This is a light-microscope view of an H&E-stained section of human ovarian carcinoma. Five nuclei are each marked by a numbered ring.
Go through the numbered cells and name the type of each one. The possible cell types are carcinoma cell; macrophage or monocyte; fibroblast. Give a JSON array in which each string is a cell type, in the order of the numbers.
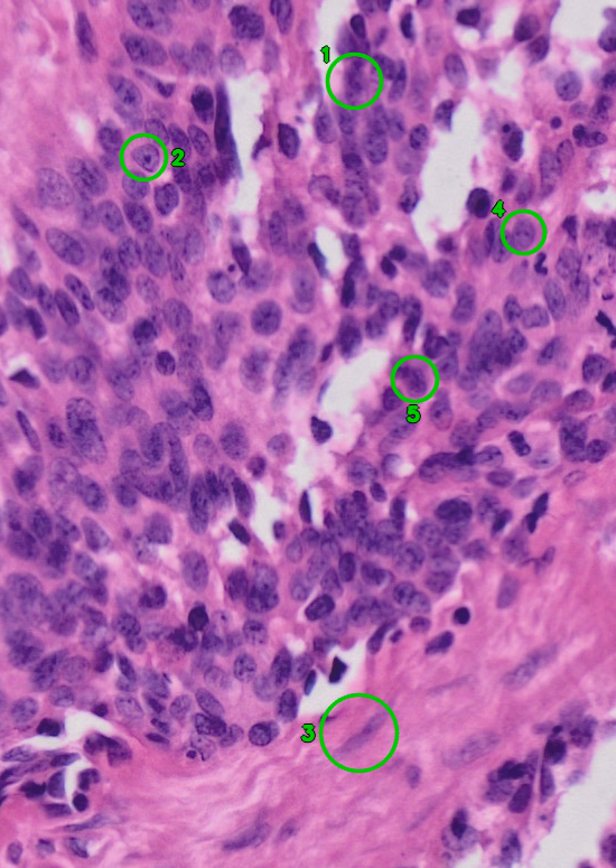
["carcinoma cell", "macrophage or monocyte", "fibroblast", "carcinoma cell", "carcinoma cell"]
